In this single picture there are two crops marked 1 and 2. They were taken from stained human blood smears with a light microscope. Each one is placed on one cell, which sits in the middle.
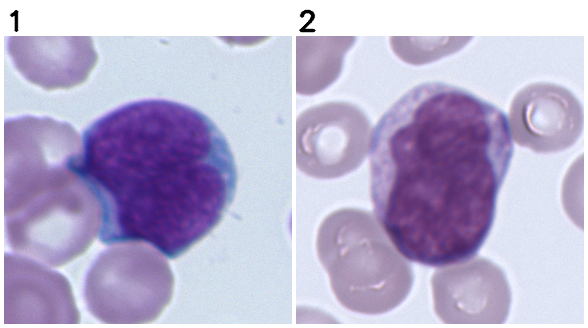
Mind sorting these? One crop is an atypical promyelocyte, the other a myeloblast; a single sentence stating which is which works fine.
Crop 1 displays a myeloblast, and crop 2 displays an atypical promyelocyte.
